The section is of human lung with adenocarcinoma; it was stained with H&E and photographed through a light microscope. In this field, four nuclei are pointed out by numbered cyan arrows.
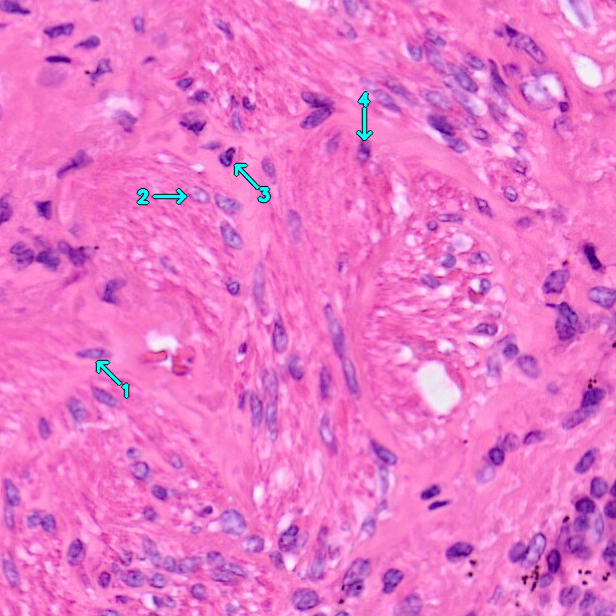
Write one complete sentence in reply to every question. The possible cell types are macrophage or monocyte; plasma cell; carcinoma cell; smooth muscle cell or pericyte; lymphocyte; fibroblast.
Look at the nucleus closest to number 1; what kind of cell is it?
The nearest nucleus to number 1 belongs to a smooth muscle cell or pericyte.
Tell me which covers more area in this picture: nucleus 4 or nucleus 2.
Number 2 is larger; its area is about 1.5 times that of number 4.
